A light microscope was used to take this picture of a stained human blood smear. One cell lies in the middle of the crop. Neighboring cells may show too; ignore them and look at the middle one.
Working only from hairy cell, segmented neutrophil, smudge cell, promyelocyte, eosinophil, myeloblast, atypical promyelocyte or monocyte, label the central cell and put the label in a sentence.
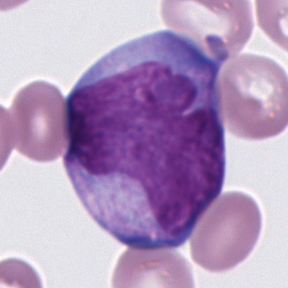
The cell at the centre of the field is an atypical promyelocyte.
